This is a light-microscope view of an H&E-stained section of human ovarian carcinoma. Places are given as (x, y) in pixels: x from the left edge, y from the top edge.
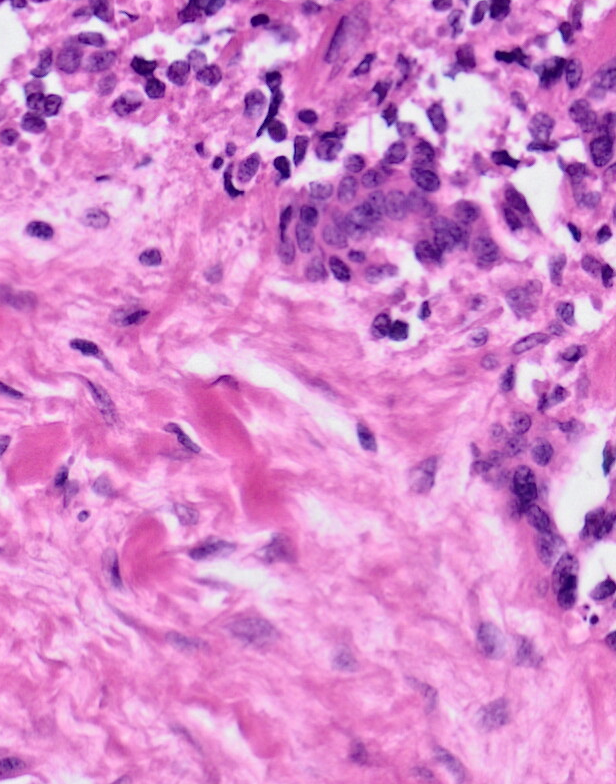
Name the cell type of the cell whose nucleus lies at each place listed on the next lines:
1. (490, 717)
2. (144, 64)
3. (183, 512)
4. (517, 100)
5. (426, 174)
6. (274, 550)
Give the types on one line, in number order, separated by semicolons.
fibroblast; carcinoma cell; fibroblast; macrophage or monocyte; carcinoma cell; fibroblast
